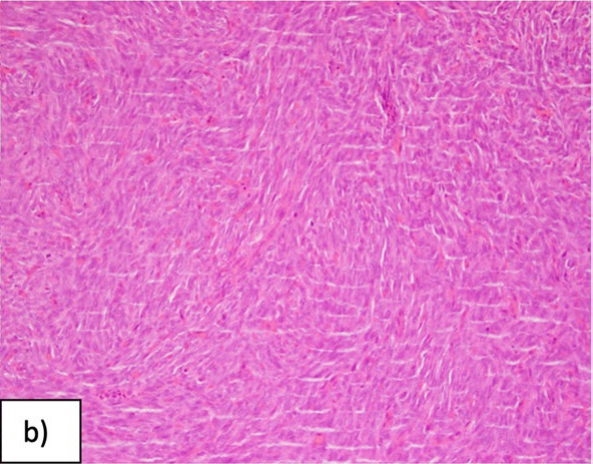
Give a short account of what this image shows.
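Densely cellular spindle cell tumour made of monotonous elongated cells with slender oval to tapering nuclei and pale pink cytoplasm. The cells are arranged in long, sweeping fascicles that cross one another at varying angles. There is little intervening stroma and the cell population looks uniform throughout.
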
